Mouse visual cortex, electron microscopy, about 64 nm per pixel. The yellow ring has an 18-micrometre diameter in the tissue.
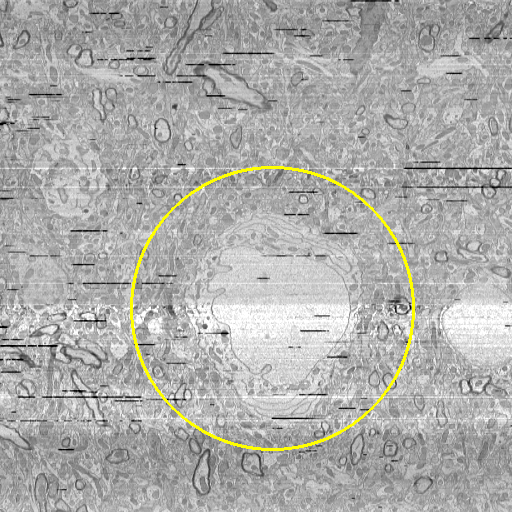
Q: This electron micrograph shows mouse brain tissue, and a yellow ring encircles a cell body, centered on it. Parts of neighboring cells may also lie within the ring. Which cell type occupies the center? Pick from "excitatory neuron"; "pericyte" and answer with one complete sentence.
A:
What sits at the ring's center in this micrograph is an excitatory neuron, among those choices.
